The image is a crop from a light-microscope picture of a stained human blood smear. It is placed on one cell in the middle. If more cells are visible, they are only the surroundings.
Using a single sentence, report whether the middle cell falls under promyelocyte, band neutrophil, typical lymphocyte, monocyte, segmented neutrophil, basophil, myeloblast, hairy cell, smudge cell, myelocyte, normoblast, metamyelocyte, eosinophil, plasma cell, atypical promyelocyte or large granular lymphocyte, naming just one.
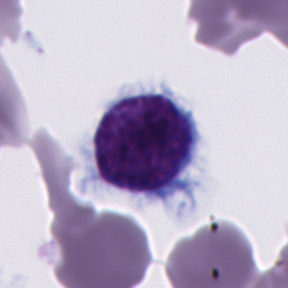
The centered cell in this crop is a hairy cell.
